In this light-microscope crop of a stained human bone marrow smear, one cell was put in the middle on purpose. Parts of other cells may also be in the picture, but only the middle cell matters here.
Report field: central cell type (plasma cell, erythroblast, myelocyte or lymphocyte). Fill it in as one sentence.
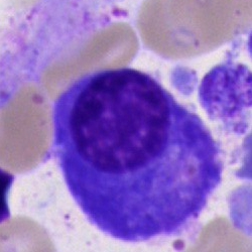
The cell around which this crop is centred is a plasma cell.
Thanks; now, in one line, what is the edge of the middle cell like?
Smooth outline, no projections: that is the whole story of its edge.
